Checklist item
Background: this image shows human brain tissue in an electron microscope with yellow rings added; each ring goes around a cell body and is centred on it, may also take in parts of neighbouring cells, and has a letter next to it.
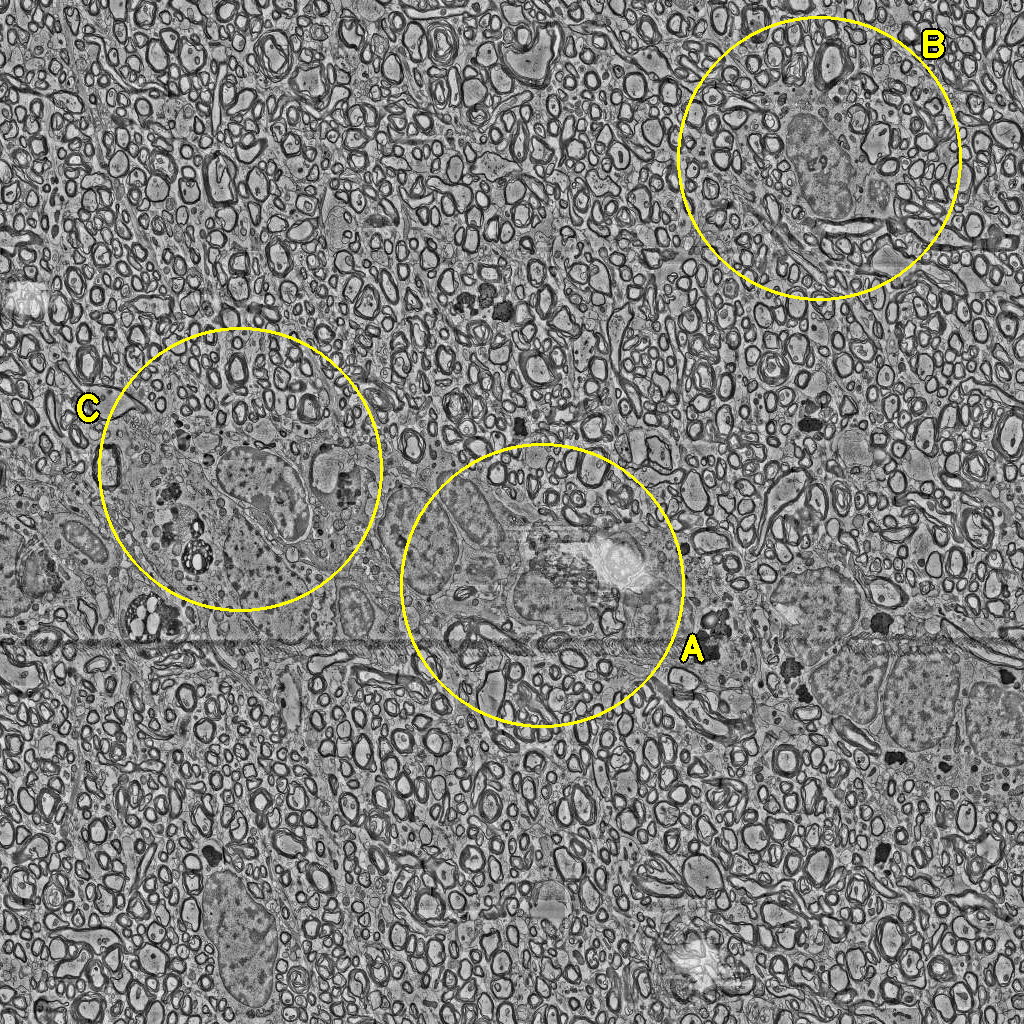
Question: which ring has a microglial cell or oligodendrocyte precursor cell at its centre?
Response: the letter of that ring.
C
